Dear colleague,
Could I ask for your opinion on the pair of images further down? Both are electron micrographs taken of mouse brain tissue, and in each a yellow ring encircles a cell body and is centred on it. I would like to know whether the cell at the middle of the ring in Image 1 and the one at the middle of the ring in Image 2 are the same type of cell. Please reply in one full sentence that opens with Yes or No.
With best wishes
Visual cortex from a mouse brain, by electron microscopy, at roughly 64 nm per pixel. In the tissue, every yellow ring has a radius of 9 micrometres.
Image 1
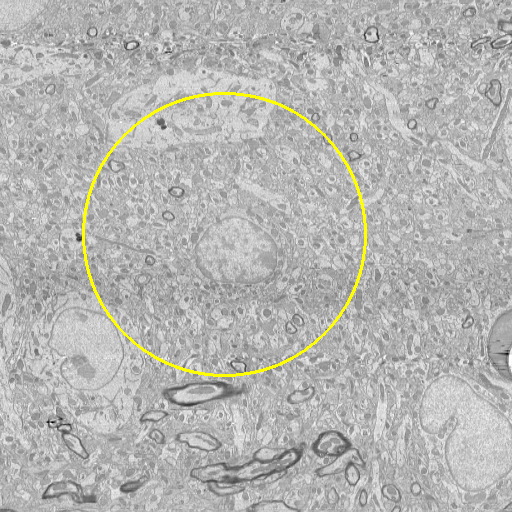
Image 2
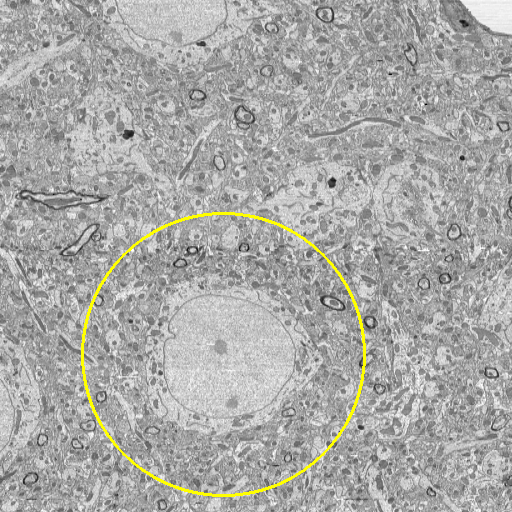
No, the cells at the ring centres in Image 1 and Image 2 are of two types.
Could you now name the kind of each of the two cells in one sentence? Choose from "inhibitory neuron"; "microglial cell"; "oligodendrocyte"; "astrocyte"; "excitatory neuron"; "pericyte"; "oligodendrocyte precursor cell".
The first ring encloses an oligodendrocyte; the second ring encloses an excitatory neuron.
